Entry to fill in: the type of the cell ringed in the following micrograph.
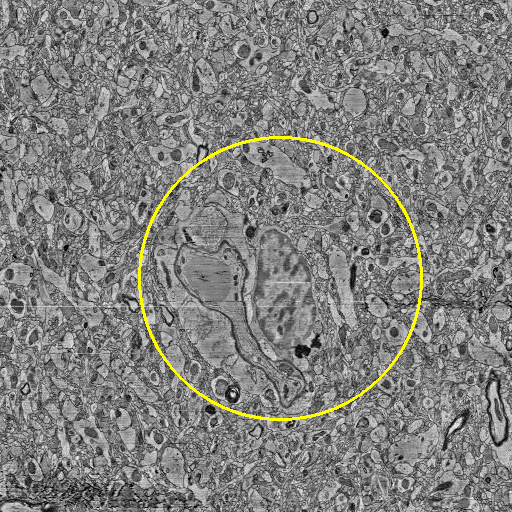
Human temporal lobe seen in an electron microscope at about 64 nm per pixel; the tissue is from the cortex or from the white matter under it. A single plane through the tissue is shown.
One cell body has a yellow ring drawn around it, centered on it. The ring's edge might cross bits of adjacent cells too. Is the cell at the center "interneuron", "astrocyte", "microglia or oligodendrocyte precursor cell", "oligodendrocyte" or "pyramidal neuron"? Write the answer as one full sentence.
This entry names an oligodendrocyte as the cell whose body lies at the ring's center.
